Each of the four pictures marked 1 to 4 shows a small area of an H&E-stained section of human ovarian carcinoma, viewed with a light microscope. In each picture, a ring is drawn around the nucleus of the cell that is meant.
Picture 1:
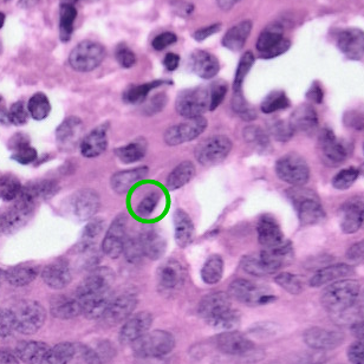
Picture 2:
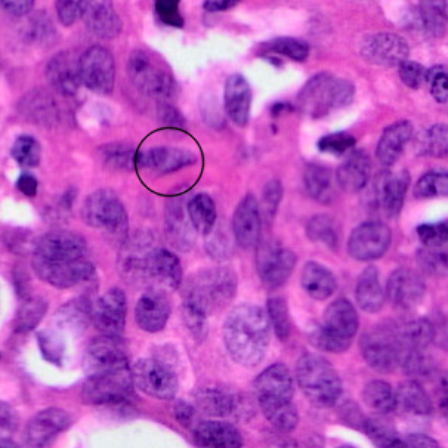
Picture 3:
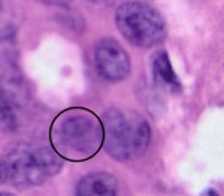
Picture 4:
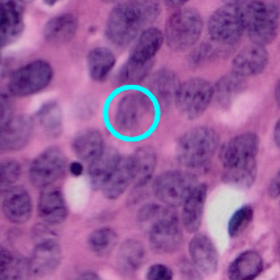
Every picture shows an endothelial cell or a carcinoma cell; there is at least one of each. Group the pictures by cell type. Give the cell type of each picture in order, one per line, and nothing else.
carcinoma cell
endothelial cell
carcinoma cell
carcinoma cell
